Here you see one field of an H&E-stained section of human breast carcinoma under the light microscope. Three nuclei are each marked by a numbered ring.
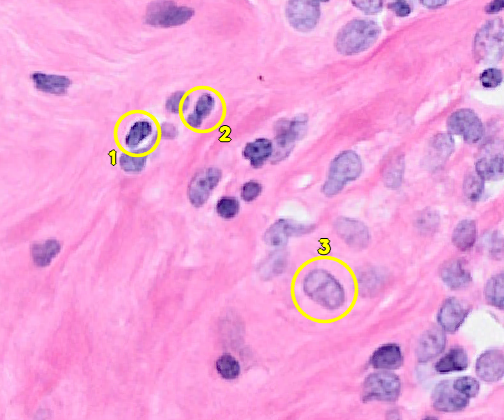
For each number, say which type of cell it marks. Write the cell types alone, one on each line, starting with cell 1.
lymphocyte
lymphocyte
carcinoma cell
